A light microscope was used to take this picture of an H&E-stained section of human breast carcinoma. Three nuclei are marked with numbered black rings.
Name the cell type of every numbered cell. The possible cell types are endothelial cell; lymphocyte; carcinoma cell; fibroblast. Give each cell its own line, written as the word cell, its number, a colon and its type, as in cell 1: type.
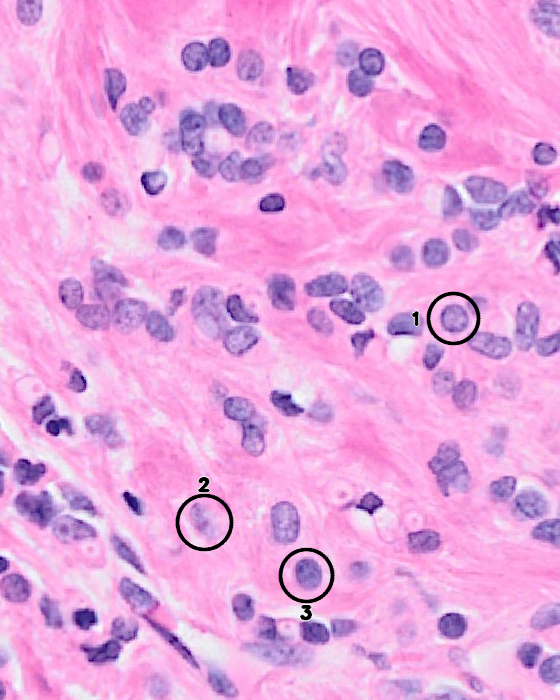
cell 1: carcinoma cell
cell 2: fibroblast
cell 3: carcinoma cell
